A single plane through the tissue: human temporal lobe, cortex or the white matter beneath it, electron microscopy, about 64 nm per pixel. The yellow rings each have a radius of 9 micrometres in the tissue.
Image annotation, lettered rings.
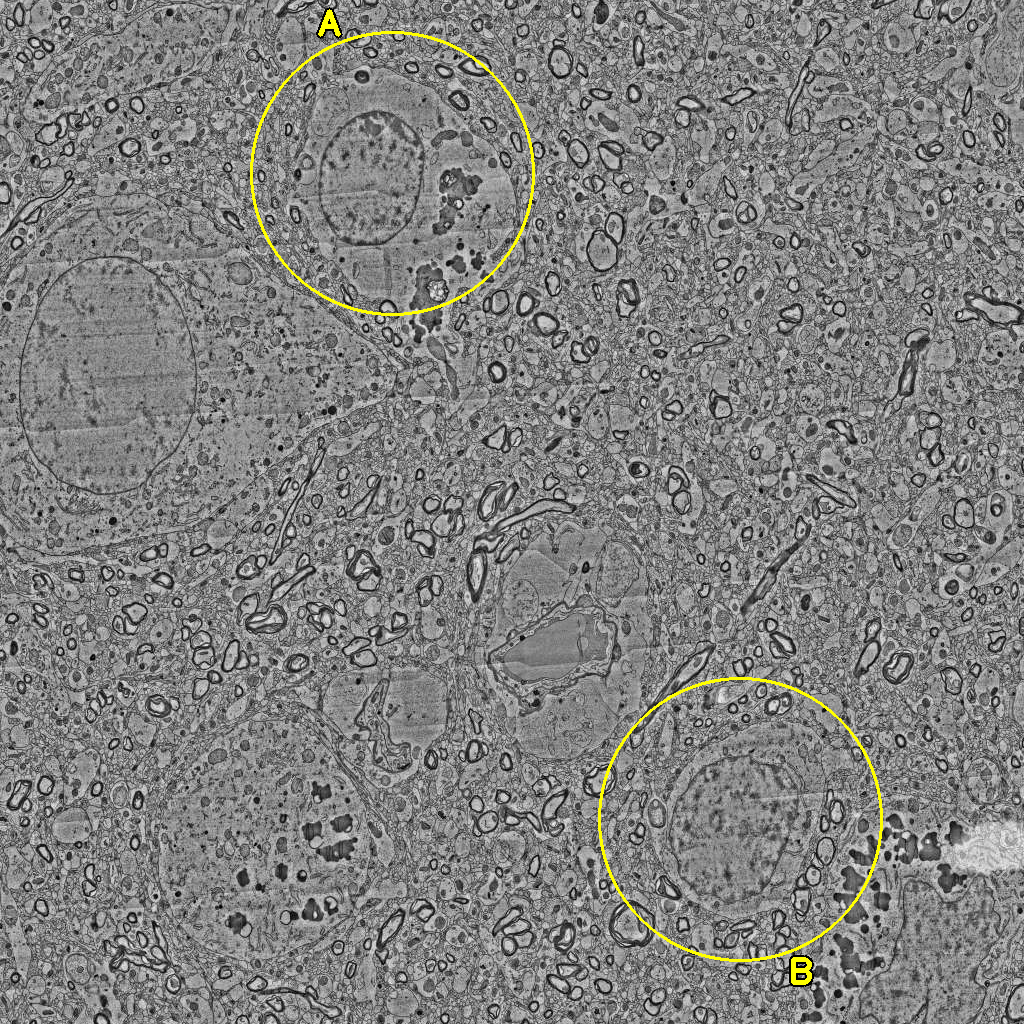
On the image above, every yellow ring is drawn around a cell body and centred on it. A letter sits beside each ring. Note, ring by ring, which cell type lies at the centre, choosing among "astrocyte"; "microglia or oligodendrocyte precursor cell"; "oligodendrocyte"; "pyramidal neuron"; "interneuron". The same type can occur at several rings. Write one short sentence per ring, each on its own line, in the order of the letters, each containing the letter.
Ring A has an astrocyte at its centre.
Ring B has an interneuron at its centre.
